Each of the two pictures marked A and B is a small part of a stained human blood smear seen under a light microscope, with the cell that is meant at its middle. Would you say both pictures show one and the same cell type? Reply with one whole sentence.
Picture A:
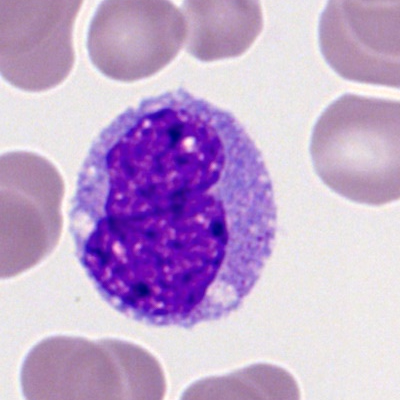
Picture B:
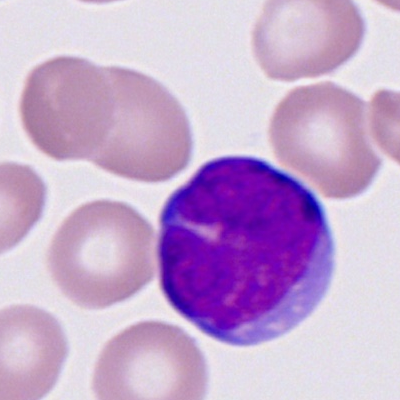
No, they differ: the cell is a monocyte in picture A and a myeloblast in picture B.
